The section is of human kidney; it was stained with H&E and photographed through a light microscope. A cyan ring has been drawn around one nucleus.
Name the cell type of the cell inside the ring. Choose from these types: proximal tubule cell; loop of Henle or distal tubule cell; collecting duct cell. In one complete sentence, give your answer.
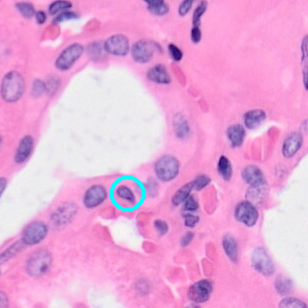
The identity of the cell inside the ring is that of a collecting duct cell.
